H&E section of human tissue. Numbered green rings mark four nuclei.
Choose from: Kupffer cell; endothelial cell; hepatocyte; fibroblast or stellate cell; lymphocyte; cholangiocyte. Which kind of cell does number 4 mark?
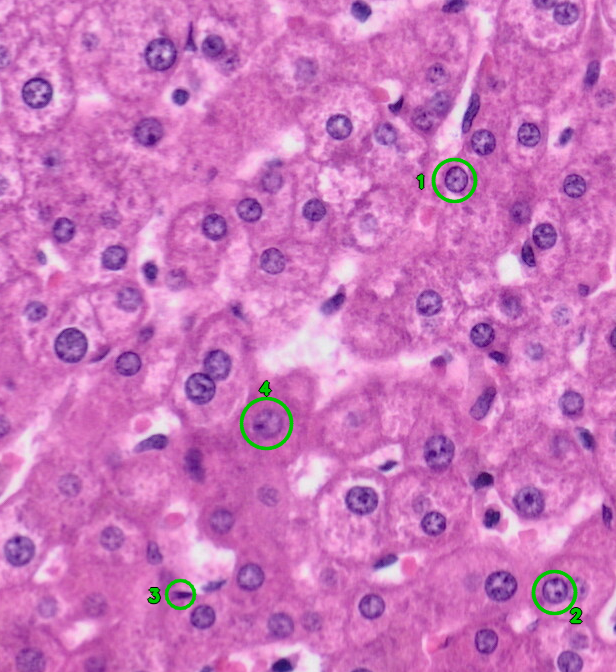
hepatocyte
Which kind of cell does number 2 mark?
hepatocyte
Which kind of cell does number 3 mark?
fibroblast or stellate cell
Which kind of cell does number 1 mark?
hepatocyte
